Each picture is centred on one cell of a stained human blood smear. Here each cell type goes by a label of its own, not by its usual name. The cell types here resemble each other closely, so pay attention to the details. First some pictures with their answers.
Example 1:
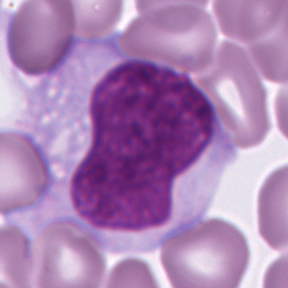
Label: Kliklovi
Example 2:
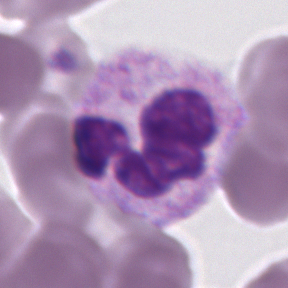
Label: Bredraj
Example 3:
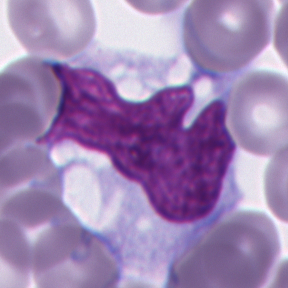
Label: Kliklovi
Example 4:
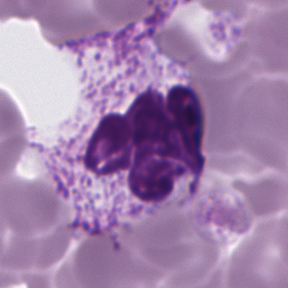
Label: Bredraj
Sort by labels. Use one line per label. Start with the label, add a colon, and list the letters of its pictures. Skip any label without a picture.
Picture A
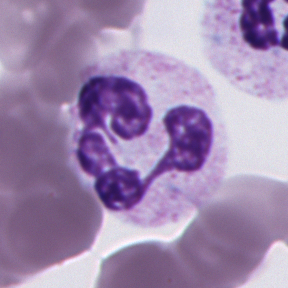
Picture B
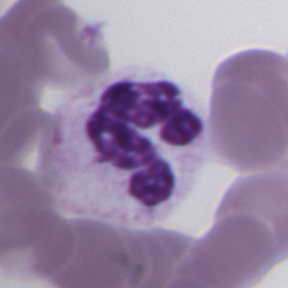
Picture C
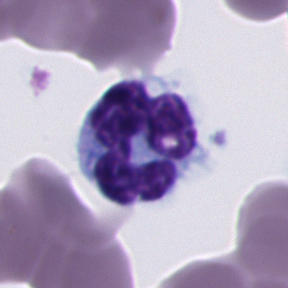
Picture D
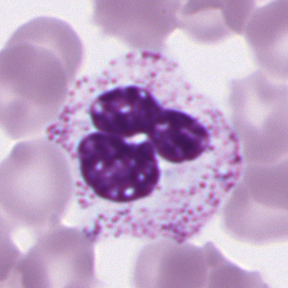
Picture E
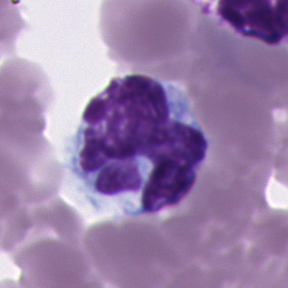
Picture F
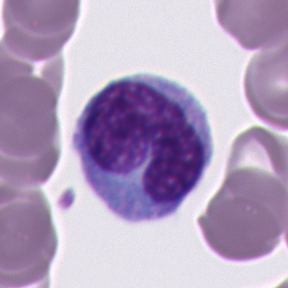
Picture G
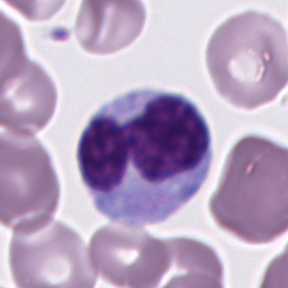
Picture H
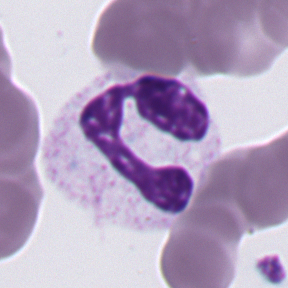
Kliklovi: C, E, F, G
Bredraj: A, B, D, H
